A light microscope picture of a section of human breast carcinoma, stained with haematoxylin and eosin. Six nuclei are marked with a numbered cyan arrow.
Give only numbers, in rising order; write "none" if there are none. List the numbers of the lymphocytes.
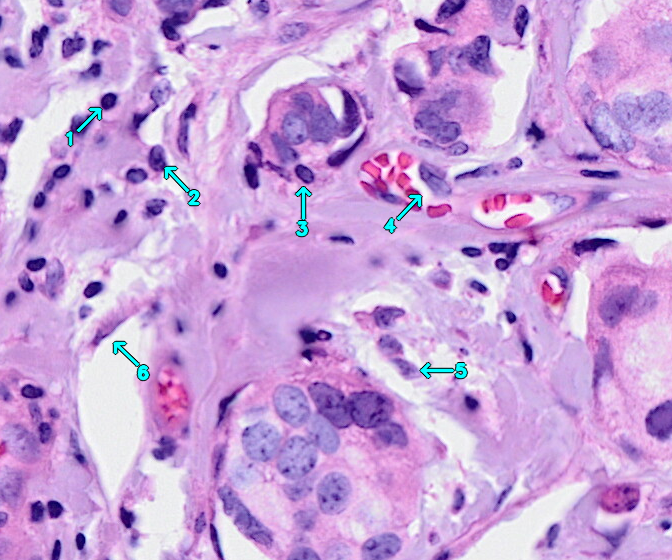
1, 2, 3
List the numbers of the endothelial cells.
4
